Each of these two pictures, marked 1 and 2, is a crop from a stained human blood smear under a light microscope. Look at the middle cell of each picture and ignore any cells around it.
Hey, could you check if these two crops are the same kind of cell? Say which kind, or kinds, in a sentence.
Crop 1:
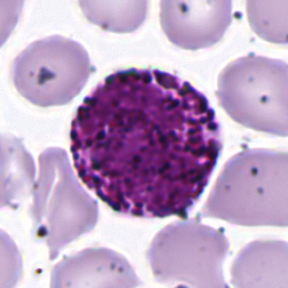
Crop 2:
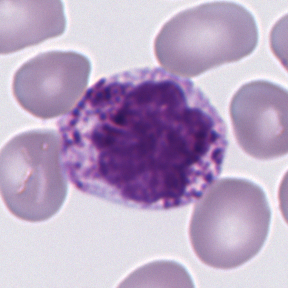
Yes, in the two crops, basophils are the cells at the centre.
